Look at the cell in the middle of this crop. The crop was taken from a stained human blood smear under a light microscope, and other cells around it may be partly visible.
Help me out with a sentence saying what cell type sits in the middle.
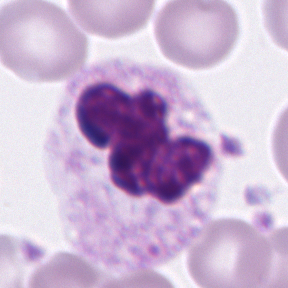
The cell marked by its central position in the crop is a segmented neutrophil.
